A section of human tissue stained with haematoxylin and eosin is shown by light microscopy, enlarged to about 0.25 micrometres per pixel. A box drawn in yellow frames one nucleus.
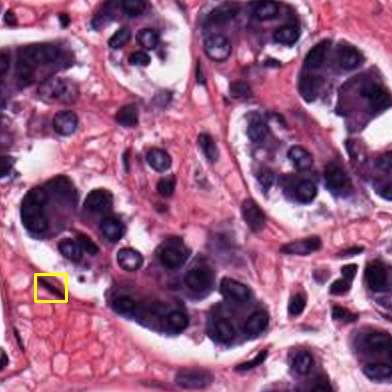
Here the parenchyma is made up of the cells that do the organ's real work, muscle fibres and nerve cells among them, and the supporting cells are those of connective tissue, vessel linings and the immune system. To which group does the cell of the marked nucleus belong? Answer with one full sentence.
It is a supporting cell that holds the marked nucleus.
